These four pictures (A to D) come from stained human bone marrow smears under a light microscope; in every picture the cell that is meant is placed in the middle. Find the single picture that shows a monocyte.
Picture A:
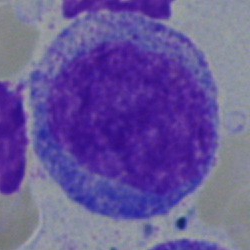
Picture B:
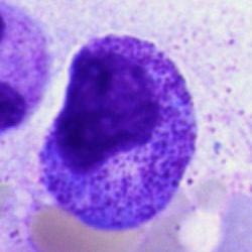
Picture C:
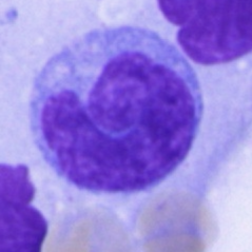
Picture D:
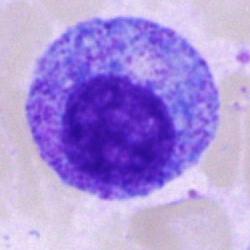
C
